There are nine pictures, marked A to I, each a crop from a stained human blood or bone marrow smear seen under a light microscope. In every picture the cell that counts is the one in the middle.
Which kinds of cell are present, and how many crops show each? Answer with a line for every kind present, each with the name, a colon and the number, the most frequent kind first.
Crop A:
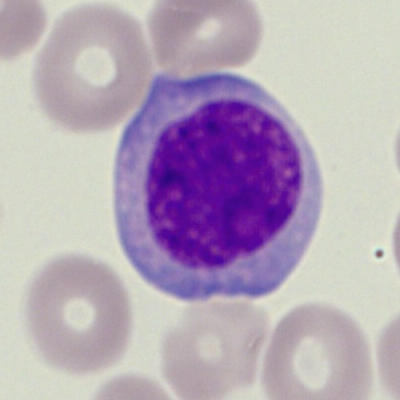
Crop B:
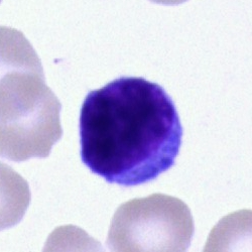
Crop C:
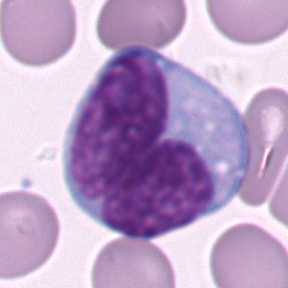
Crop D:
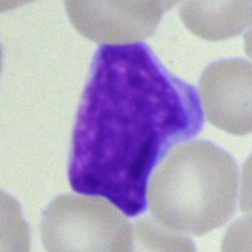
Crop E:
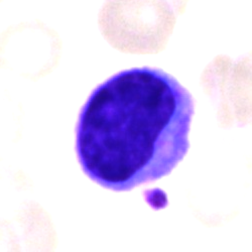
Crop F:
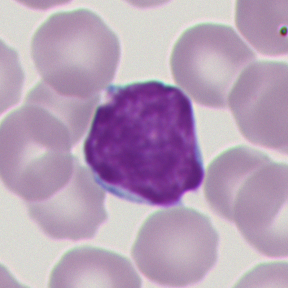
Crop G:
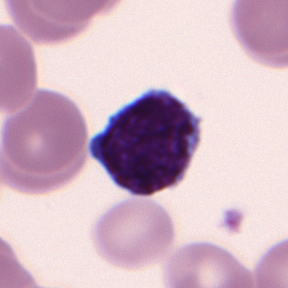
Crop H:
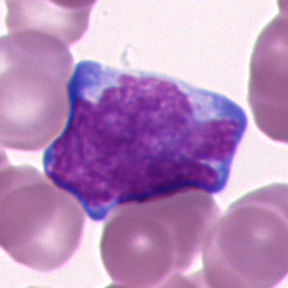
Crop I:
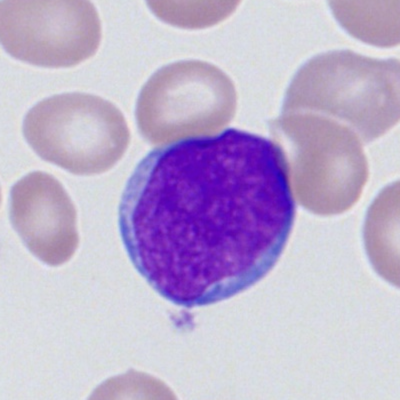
blast: 5
lymphocyte: 4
